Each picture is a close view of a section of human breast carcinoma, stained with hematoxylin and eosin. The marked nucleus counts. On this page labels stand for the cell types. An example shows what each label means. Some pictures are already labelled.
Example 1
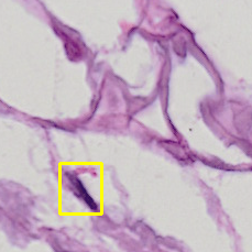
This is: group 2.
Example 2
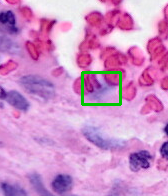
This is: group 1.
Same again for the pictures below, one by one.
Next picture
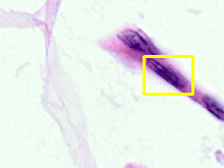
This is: group 1.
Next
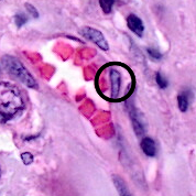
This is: group 1.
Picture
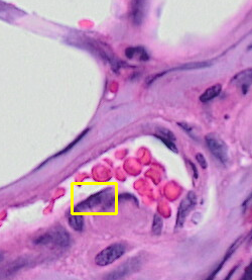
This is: group 1.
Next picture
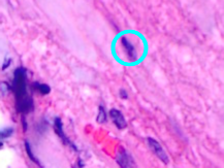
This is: group 2.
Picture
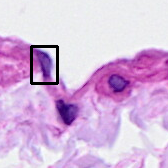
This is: group 1.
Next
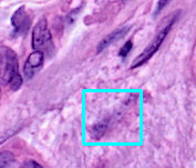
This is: group 2.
